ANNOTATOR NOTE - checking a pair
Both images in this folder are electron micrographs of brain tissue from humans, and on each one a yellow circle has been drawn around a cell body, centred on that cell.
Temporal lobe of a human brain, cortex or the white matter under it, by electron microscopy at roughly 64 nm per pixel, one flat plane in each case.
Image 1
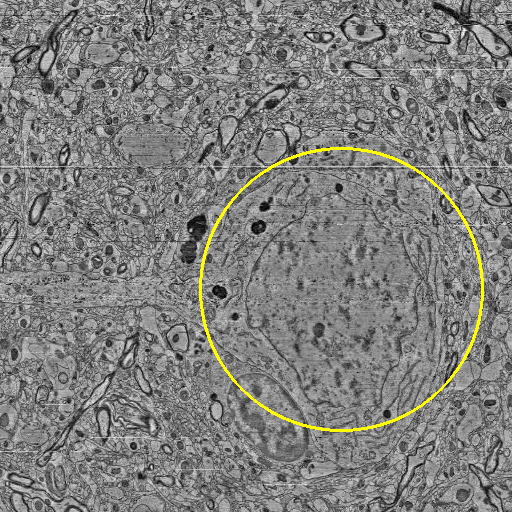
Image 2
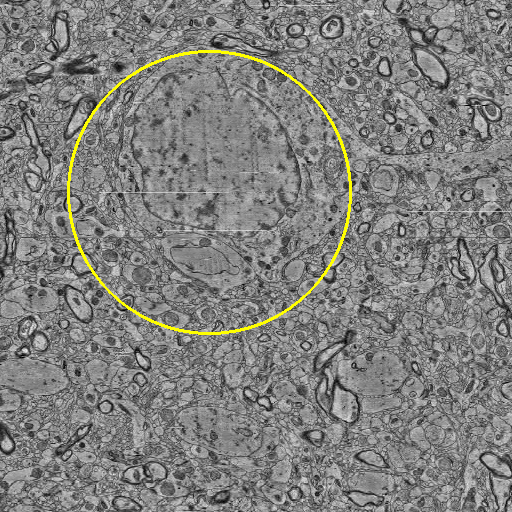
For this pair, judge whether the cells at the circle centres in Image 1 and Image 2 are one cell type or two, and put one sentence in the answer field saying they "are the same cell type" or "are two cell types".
For this pair, the cells at the circle centres in Images 1 and 2 are the same cell type.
